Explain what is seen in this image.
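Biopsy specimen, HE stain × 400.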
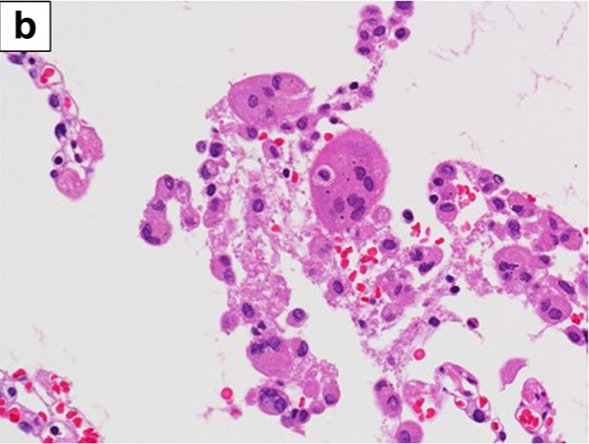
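Thin alveolar walls with red blood cells in their capillaries are lined by plump cuboidal cells with round nuclei. Several multinucleated giant cells lie in the airspaces and against the walls, each with abundant pink cytoplasm and several oval nuclei clustered within it. The largest giant cell, at the centre, holds a group of nuclei and is many times the size of the neighbouring lining cells.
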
